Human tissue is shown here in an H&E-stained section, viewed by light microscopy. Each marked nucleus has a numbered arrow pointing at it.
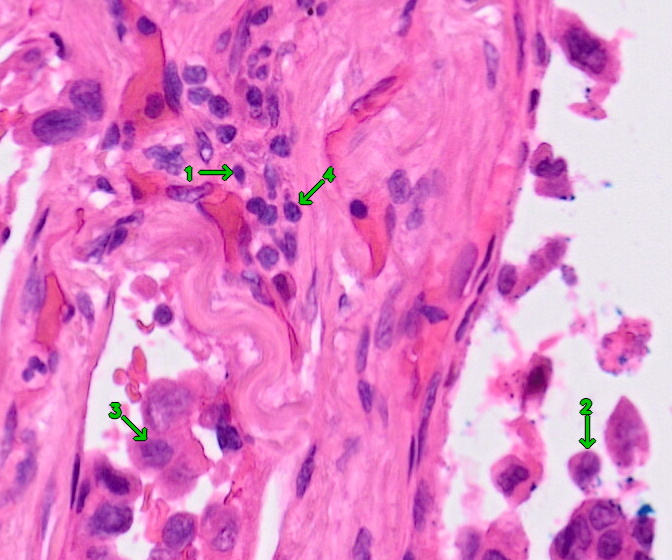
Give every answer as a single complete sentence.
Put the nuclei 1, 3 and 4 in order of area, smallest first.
From smallest to largest, the order is 1, 4, 3.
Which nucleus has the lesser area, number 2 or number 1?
Nucleus 1 covers less area, with nucleus 2 about 4 times as large.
